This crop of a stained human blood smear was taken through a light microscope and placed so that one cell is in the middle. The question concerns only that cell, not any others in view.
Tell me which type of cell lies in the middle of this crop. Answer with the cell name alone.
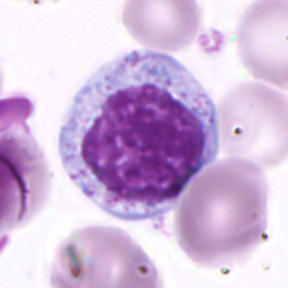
myelocyte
